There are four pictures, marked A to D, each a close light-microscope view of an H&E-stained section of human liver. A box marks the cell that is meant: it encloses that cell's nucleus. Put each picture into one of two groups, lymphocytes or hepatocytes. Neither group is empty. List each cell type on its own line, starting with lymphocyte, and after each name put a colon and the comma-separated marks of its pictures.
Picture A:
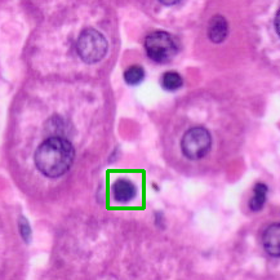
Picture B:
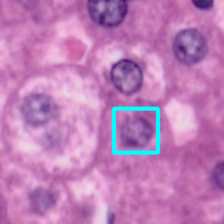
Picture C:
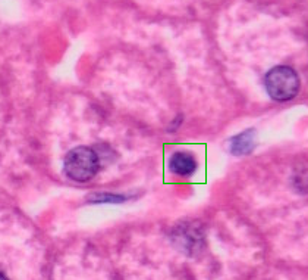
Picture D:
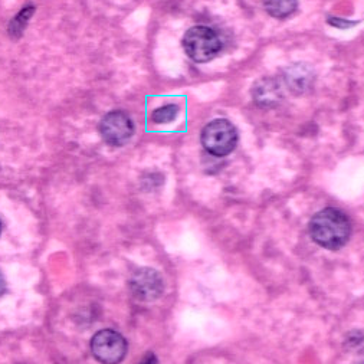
lymphocyte: A, C, D
hepatocyte: B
